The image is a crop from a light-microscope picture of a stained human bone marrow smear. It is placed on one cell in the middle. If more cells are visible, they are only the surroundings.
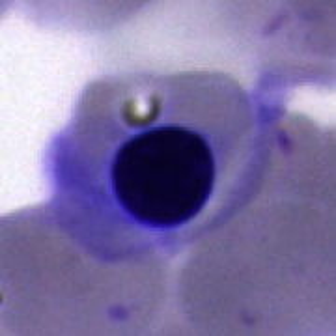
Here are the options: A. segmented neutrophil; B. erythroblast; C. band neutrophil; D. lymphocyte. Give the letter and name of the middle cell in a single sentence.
The cell occupying the centre is an erythroblast; option B is thus the correct choice.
